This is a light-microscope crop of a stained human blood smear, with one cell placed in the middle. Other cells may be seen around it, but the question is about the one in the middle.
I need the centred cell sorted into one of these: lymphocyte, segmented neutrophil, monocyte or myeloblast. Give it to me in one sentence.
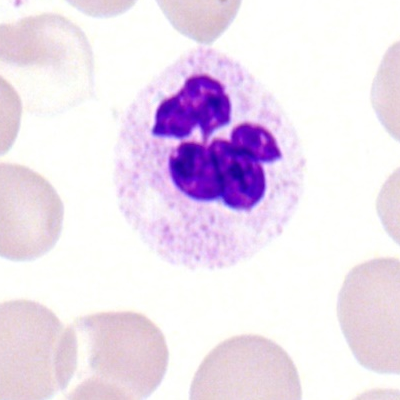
The cell at the central position in this crop is a segmented neutrophil.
